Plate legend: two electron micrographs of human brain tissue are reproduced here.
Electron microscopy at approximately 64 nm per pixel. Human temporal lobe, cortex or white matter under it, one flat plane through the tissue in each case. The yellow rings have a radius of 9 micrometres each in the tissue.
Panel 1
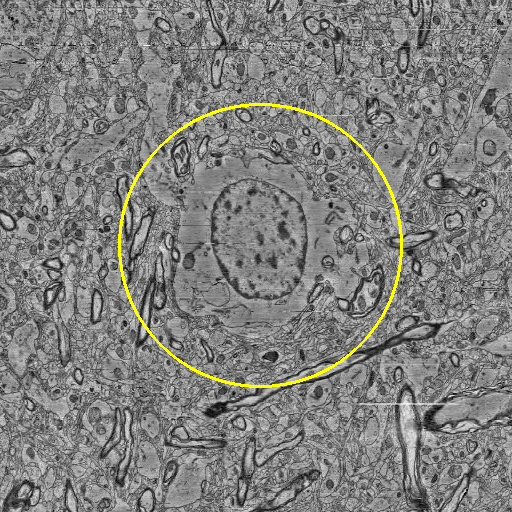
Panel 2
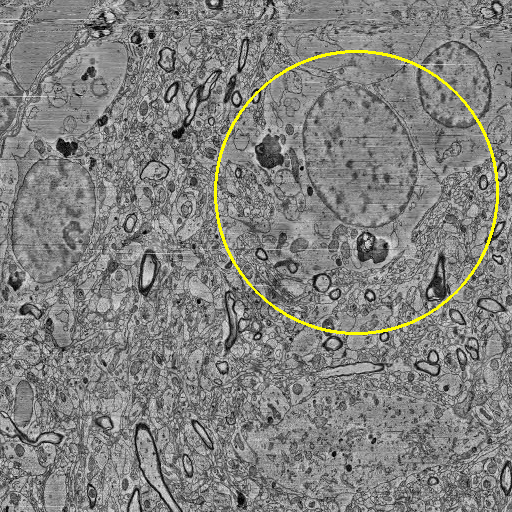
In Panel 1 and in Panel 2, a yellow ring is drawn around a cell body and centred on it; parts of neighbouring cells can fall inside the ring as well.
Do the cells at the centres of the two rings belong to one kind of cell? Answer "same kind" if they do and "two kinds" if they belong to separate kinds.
same kind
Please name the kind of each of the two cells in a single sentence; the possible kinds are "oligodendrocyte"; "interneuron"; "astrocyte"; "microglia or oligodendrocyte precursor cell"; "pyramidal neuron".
Each of the ringed cells, first and second, is an astrocyte.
